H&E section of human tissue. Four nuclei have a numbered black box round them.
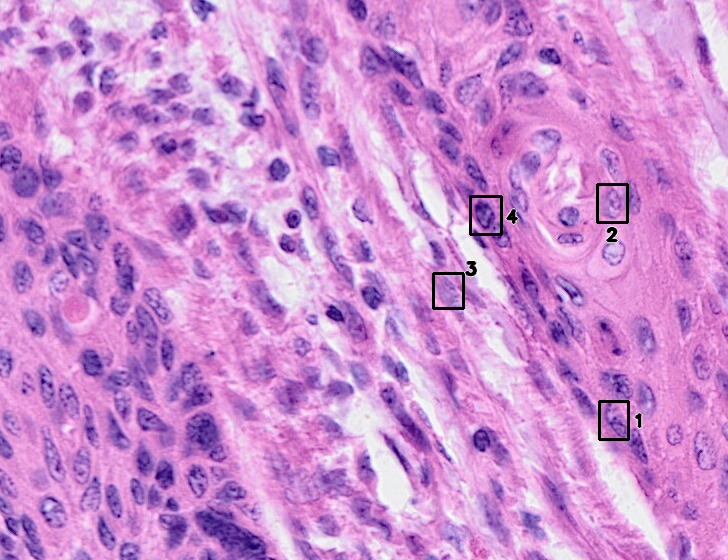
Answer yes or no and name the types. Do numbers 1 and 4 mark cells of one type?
Yes, along with cell 1, cell 4 is also among the squamous carcinoma cells.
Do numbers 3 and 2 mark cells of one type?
No, the cell bearing number 3 is a fibroblast, while the one bearing number 2 is a squamous carcinoma cell.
